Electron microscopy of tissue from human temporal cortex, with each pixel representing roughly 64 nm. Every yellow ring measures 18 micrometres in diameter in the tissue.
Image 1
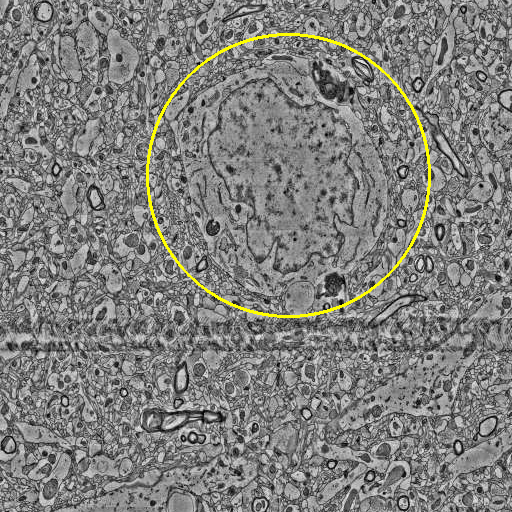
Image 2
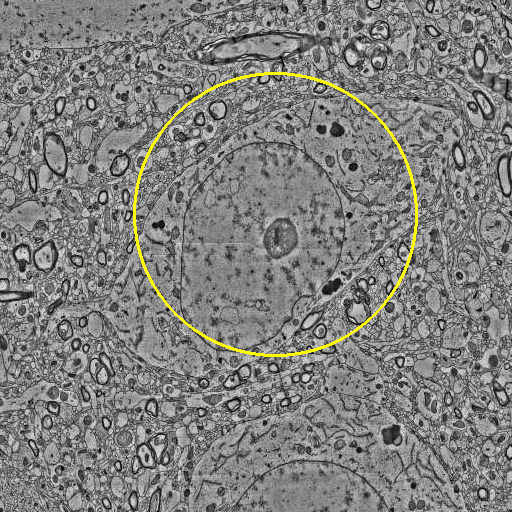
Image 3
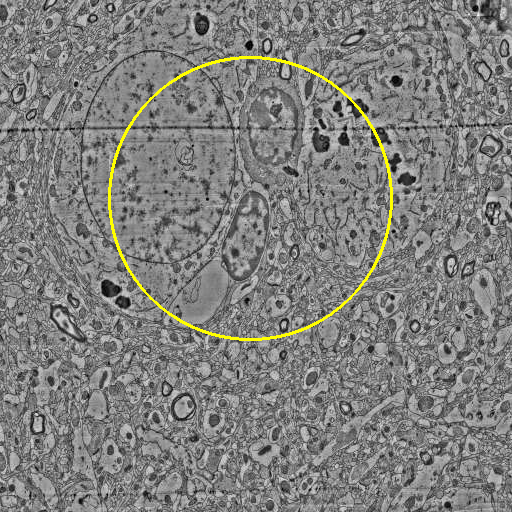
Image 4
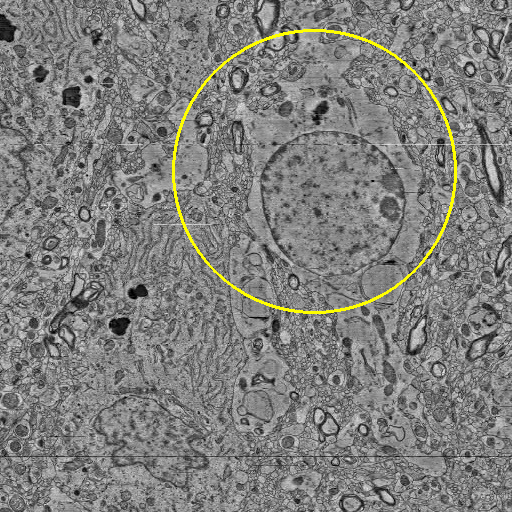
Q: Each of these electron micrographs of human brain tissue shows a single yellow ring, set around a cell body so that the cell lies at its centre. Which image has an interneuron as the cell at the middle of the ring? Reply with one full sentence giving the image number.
In image 1, the cell lying at the ring's centre is the requested one.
